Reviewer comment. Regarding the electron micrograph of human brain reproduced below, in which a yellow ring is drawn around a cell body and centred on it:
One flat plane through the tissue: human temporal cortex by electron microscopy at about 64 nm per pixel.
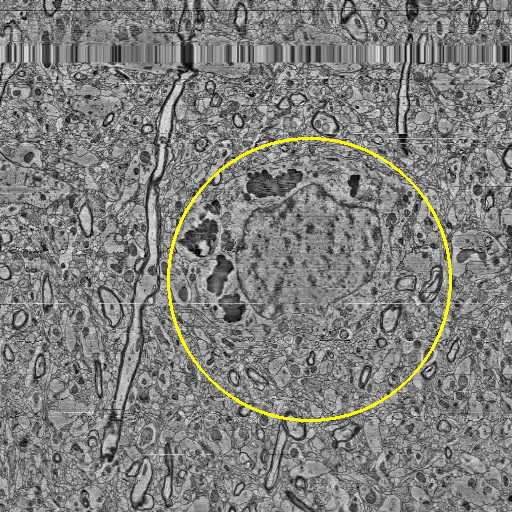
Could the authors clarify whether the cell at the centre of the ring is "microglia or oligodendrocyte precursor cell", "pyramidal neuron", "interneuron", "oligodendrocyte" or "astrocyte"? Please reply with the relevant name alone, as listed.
interneuron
